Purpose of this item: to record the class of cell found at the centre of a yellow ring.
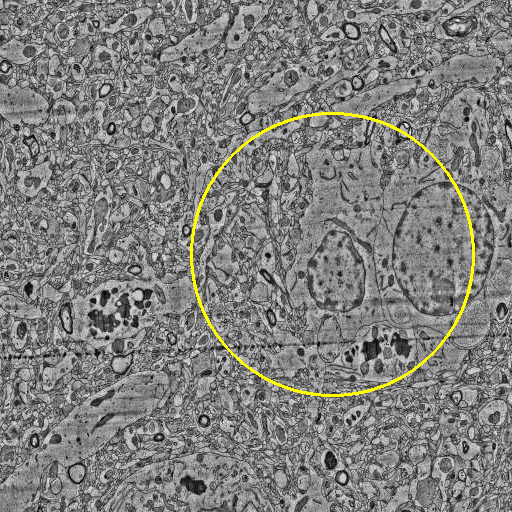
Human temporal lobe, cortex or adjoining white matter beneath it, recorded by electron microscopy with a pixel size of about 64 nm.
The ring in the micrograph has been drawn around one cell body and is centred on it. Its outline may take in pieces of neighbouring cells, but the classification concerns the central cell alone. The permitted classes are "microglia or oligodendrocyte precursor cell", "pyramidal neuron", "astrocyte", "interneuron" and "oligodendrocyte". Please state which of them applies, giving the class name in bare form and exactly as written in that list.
astrocyte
